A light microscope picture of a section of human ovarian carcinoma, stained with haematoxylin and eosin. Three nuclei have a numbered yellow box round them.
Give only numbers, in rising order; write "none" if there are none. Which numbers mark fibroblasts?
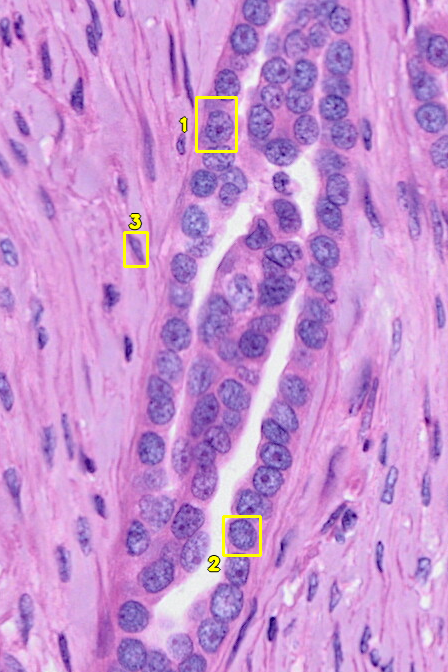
3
